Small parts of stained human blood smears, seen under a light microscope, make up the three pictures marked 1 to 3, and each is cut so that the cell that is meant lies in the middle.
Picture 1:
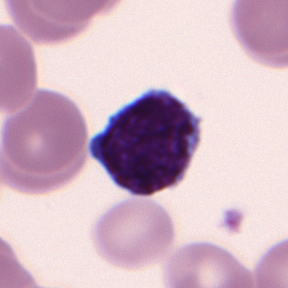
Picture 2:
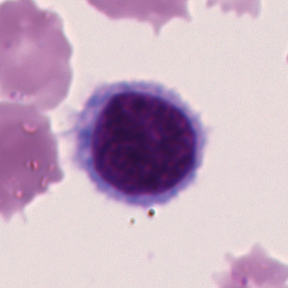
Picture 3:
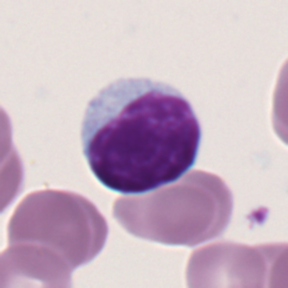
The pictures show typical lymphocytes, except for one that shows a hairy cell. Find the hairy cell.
2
